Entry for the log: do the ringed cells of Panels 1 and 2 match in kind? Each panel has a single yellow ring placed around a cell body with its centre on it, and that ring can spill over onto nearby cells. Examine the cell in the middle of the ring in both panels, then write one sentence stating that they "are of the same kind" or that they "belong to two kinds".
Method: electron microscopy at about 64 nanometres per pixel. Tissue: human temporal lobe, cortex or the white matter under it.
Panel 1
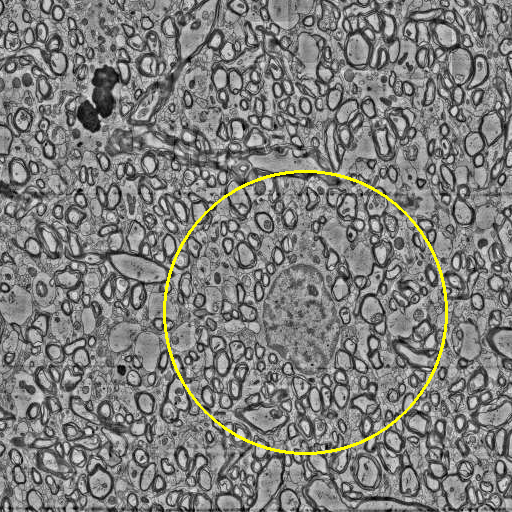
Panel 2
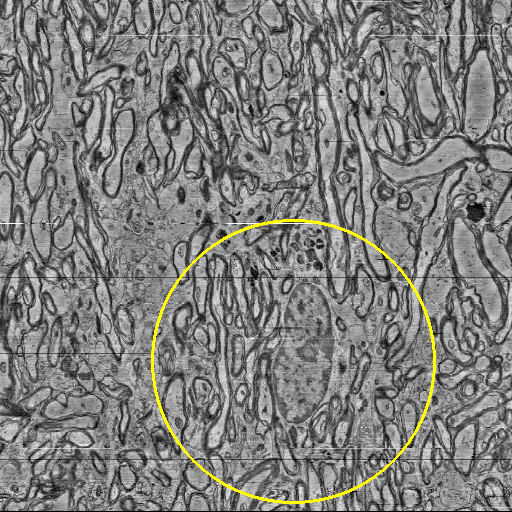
The centre cell of Panel 1's ring and that of Panel 2's ring belong to two kinds.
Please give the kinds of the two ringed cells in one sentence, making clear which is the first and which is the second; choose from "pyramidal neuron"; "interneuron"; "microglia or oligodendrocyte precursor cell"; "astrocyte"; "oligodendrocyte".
In the second picture the ringed cell is a microglial cell or oligodendrocyte precursor cell; in the first it is an oligodendrocyte.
